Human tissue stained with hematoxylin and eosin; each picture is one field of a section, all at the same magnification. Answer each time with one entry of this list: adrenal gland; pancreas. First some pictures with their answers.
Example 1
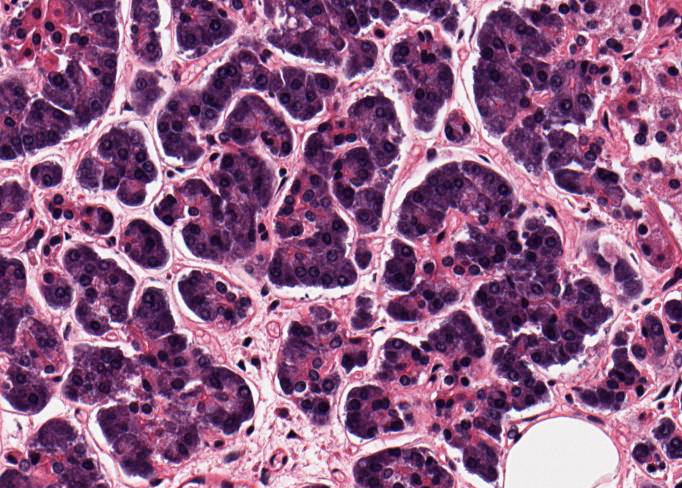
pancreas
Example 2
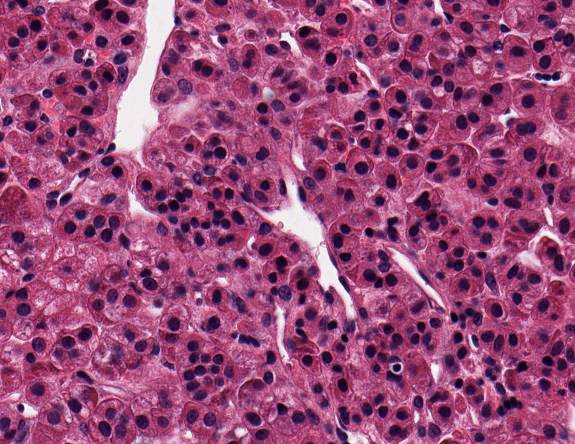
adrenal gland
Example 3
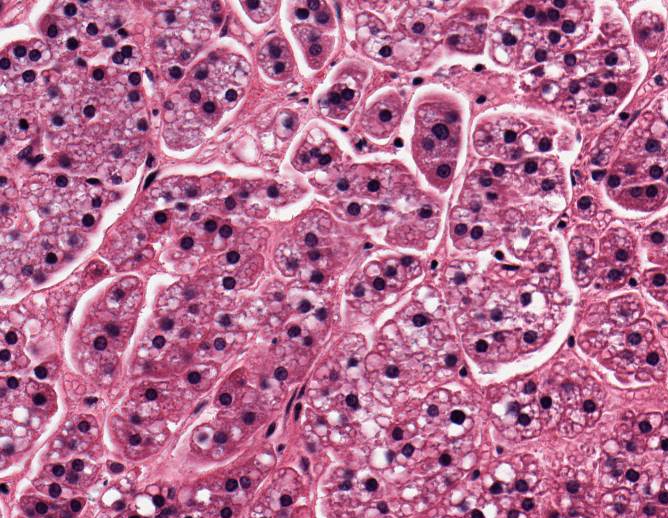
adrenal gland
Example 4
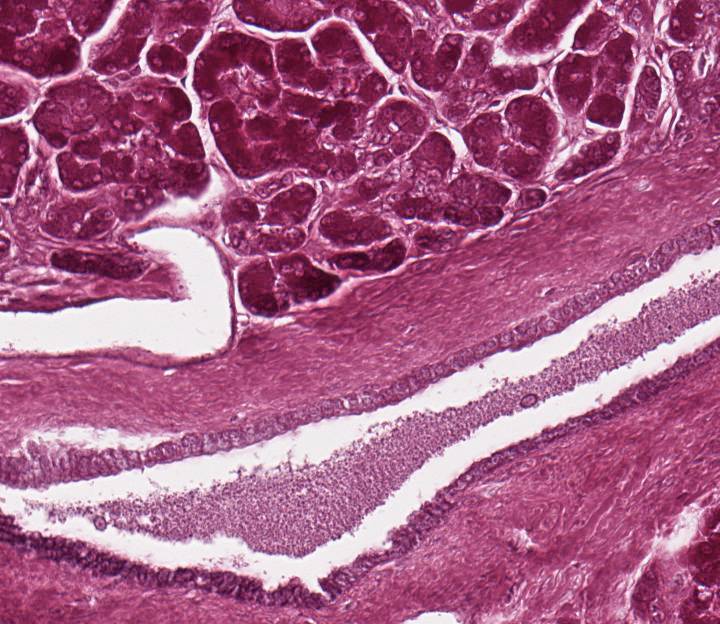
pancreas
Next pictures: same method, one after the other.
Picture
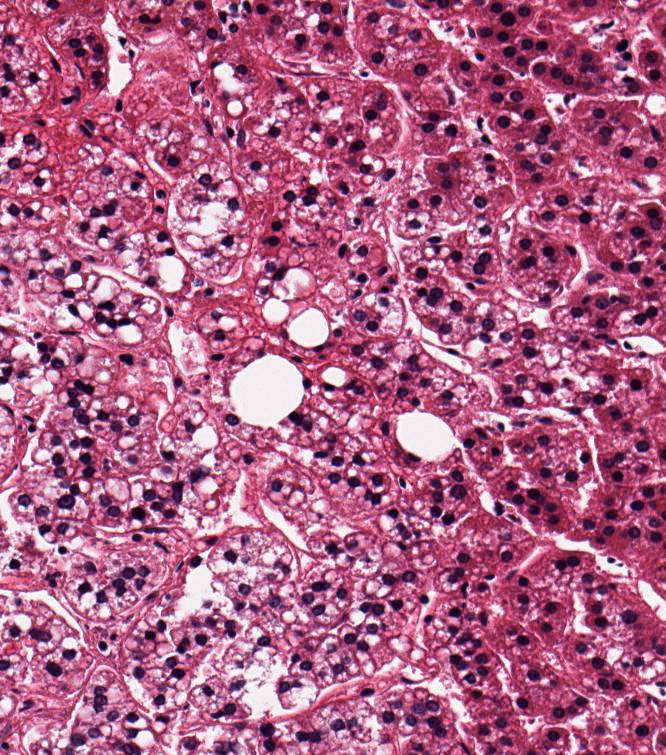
adrenal gland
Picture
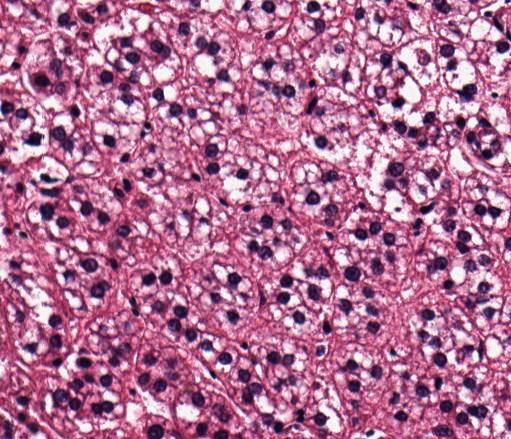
adrenal gland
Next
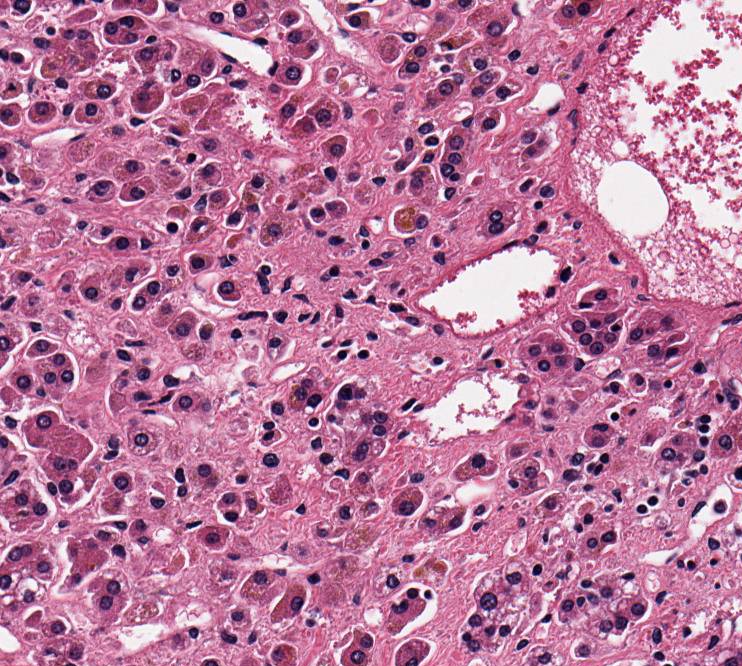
adrenal gland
